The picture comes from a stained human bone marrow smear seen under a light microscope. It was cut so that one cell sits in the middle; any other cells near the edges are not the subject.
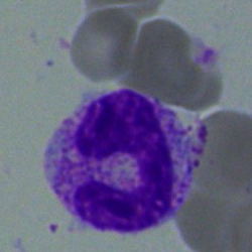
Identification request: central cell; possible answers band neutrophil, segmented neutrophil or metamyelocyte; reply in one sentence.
By classification, the middle cell of this crop is a band neutrophil.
